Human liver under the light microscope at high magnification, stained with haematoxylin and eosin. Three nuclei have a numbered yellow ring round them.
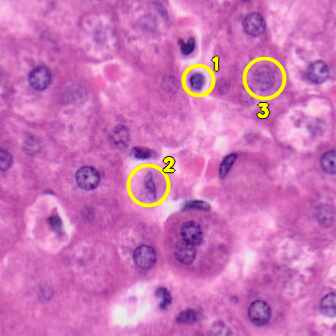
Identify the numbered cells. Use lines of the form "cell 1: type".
cell 1: lymphocyte
cell 2: Kupffer cell
cell 3: hepatocyte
